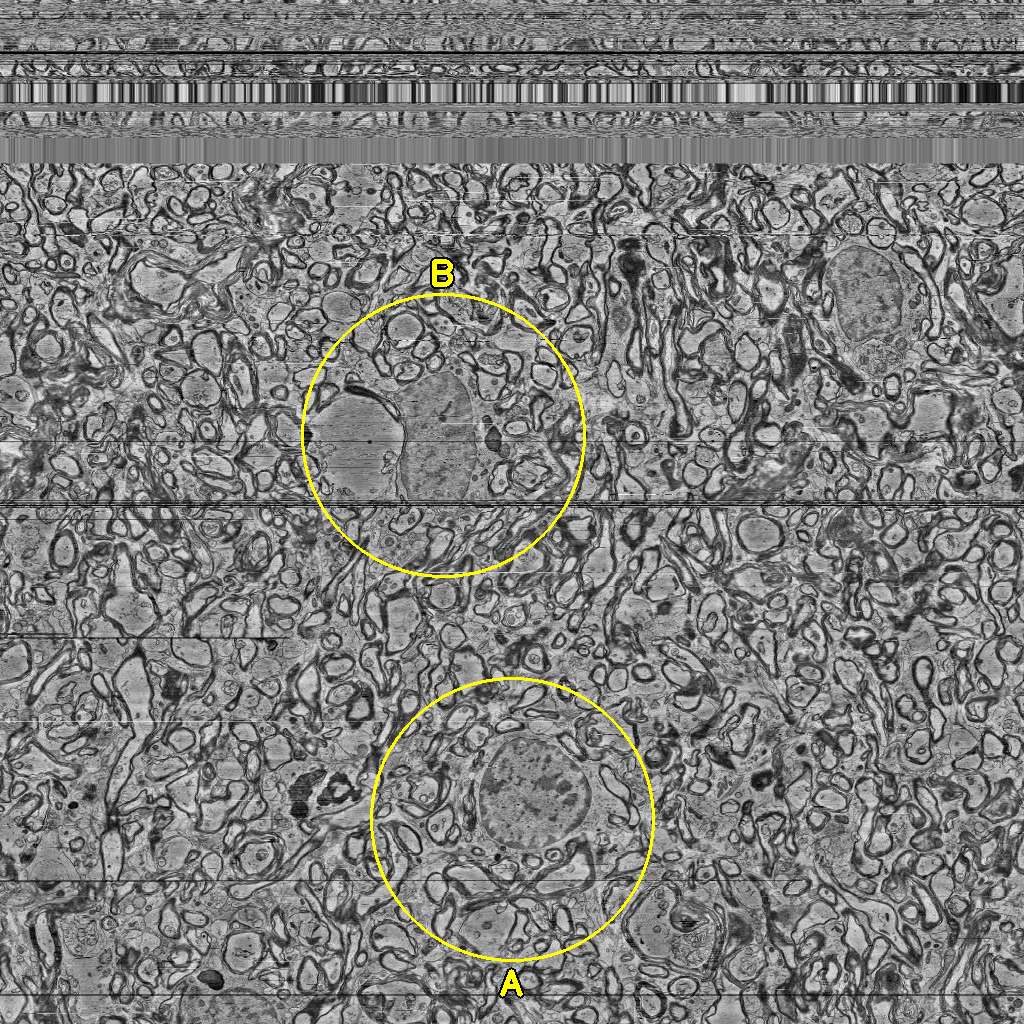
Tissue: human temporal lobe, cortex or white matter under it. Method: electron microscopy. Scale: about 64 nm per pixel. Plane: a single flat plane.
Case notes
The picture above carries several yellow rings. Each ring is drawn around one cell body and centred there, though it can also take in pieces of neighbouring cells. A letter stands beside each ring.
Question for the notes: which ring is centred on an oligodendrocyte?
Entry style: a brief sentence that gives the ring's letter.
Ring B is centred on it.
